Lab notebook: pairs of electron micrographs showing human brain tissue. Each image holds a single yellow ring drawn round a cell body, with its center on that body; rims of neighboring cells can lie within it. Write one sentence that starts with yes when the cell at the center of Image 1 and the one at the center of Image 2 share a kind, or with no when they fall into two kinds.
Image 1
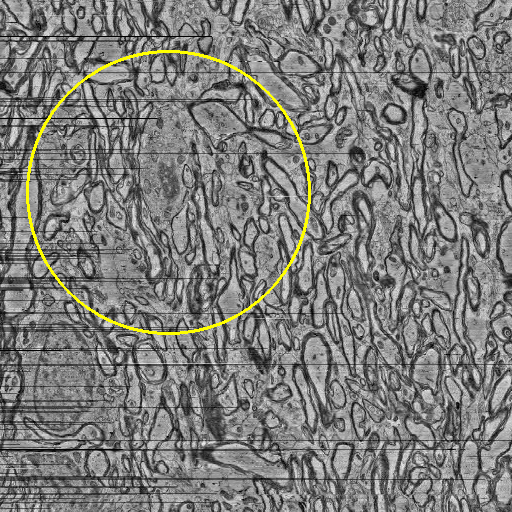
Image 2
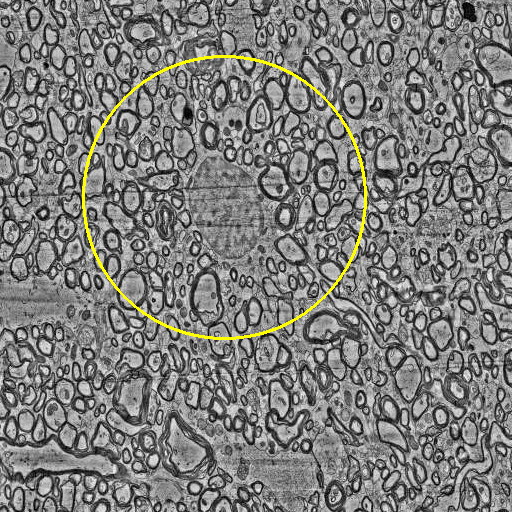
Yes, the centered cell in Image 1 and the centered cell in Image 2 are of one kind.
